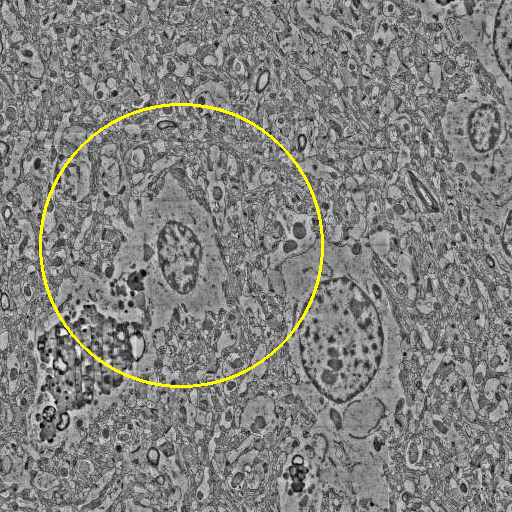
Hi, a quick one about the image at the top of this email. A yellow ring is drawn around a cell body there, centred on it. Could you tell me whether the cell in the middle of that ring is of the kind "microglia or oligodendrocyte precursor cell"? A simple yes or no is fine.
no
